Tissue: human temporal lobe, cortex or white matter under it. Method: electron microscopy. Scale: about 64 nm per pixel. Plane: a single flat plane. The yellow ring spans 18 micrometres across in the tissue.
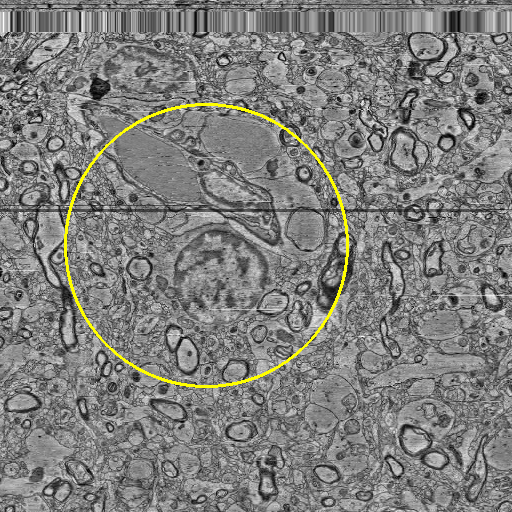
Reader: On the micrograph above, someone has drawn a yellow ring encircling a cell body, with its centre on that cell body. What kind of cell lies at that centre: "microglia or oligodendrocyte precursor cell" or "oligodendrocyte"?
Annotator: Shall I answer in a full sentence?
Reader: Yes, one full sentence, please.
Here an oligodendrocyte sits at the centre of the yellow ring drawn on the micrograph.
